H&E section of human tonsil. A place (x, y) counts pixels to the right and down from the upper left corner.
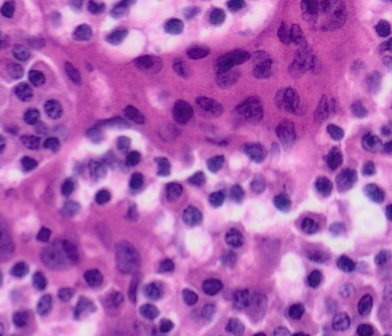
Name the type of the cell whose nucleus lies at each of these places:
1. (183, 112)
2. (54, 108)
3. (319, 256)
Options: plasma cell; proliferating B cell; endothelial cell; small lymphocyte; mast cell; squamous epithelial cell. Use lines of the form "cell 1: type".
cell 1: squamous epithelial cell
cell 2: plasma cell
cell 3: plasma cell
